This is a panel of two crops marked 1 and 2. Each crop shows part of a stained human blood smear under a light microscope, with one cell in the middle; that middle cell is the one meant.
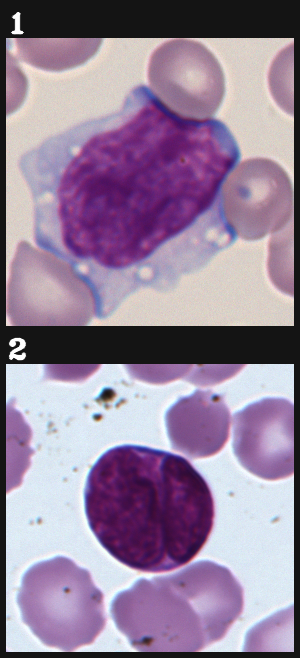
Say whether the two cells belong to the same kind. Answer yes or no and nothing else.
yes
